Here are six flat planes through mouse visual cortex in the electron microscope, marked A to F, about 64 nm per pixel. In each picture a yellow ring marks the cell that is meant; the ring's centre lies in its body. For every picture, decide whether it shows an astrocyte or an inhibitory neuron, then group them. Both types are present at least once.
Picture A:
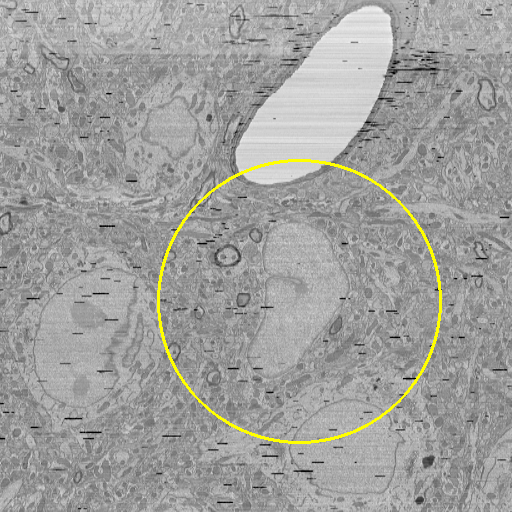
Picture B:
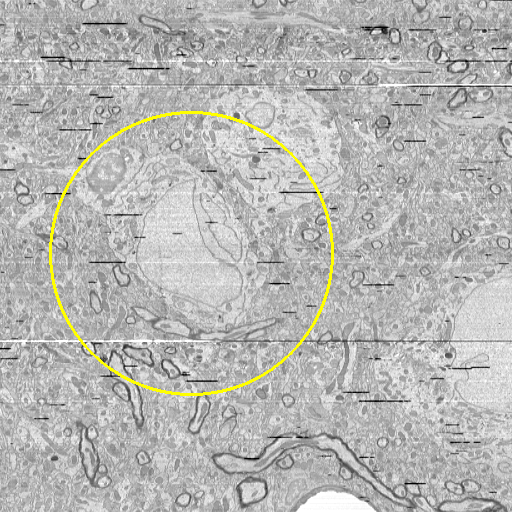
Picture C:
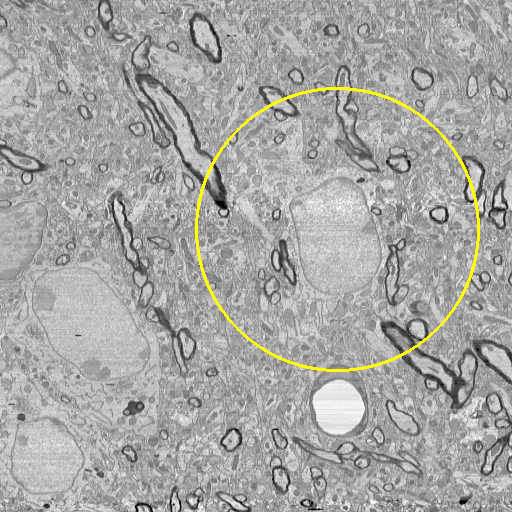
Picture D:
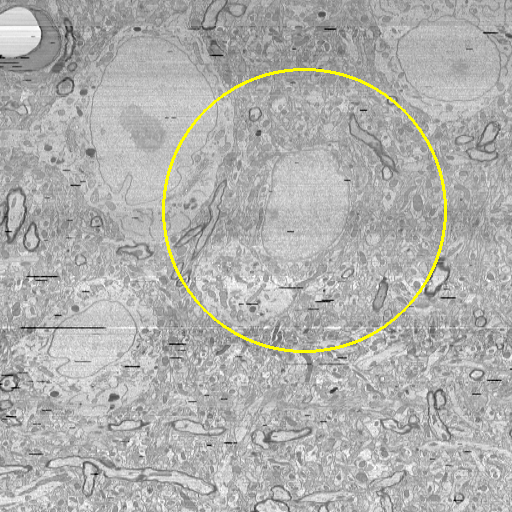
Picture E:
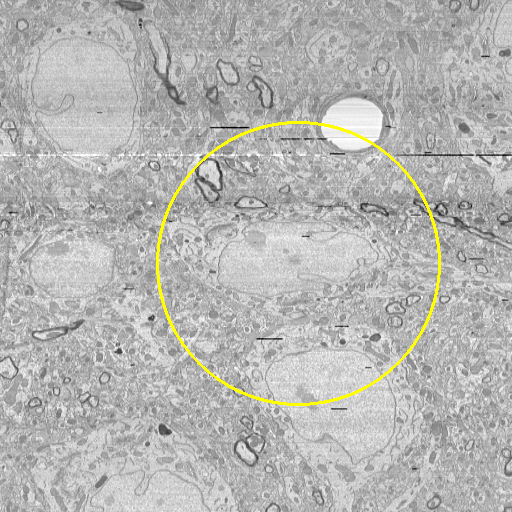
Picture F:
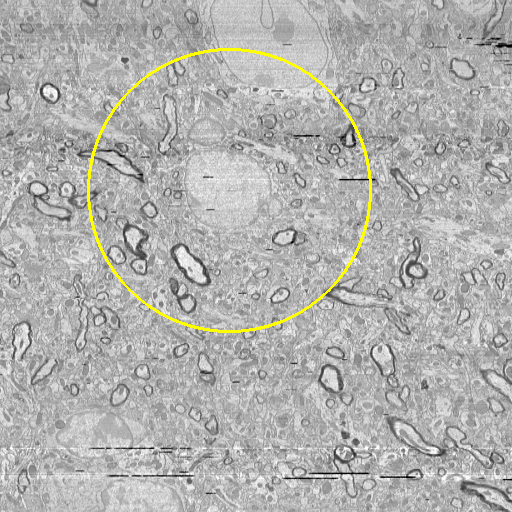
Pictures A, C, D and F show astrocytes, and pictures B and E show inhibitory neurons.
